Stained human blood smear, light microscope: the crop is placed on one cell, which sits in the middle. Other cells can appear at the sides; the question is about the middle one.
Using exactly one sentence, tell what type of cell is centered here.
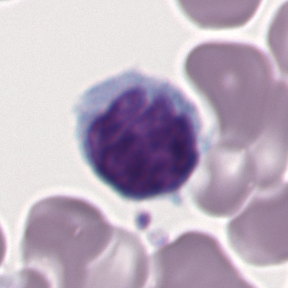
The cell sitting right in the middle is a monocyte.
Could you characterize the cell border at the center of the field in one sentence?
This cell does not have a smooth edge; it is ragged or extended into projections.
